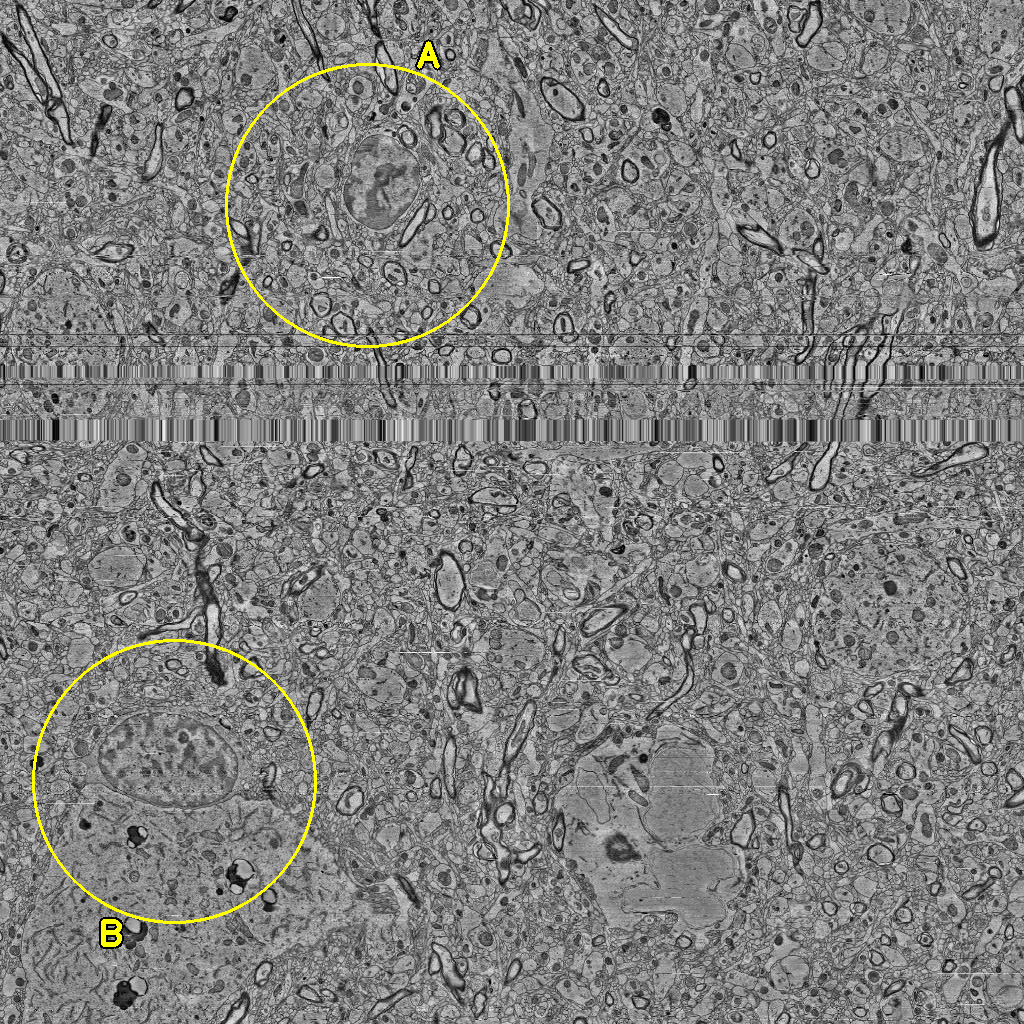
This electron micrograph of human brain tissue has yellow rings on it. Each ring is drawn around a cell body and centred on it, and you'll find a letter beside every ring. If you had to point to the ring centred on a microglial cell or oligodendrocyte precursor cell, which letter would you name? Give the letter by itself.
A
